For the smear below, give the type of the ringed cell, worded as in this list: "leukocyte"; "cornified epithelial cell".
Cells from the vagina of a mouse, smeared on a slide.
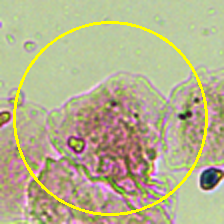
cornified epithelial cell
